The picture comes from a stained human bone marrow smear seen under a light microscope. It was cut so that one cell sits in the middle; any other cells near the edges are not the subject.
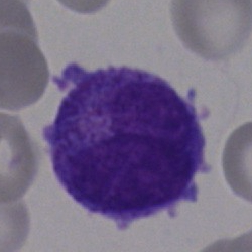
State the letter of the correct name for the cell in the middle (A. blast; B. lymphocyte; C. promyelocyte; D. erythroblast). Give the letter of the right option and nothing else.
A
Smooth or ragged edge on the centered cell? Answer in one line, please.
This cell has an uneven outline, either ragged or bearing projections.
